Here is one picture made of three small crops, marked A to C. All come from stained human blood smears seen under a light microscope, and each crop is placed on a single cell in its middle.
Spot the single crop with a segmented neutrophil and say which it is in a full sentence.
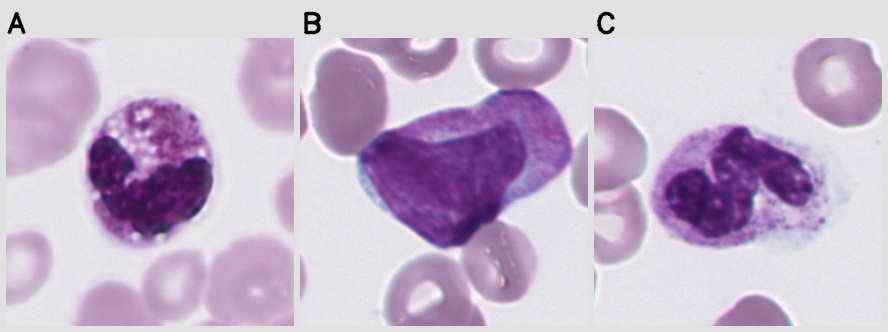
Crop C alone, of all the crops, shows a segmented neutrophil.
